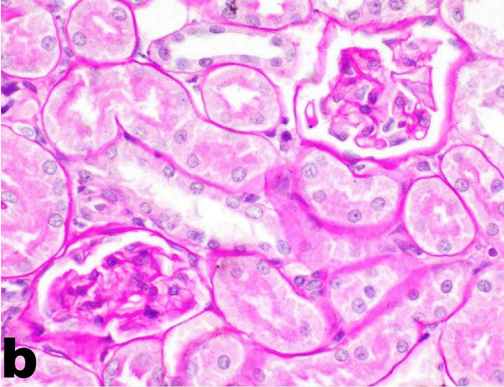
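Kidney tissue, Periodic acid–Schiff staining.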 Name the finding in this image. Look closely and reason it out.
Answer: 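Two glomeruli whose tufts are small and filled with coarse, dense magenta material. The tufts hold few open capillary loops compared with the surrounding tubules' delicate outlines. That points to this answer: thickening of the glomerular capillary tuft and basement membrane.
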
